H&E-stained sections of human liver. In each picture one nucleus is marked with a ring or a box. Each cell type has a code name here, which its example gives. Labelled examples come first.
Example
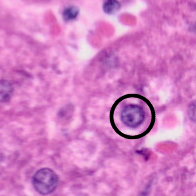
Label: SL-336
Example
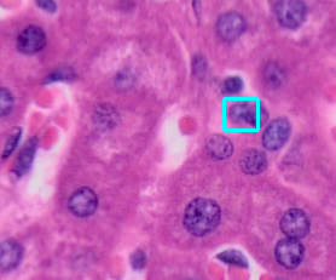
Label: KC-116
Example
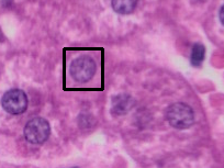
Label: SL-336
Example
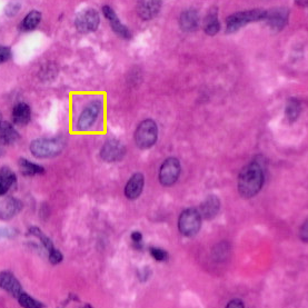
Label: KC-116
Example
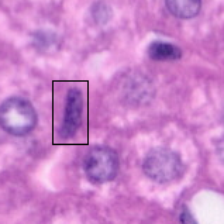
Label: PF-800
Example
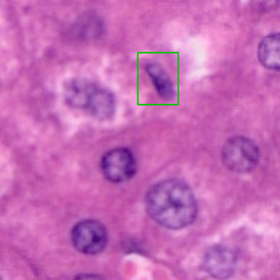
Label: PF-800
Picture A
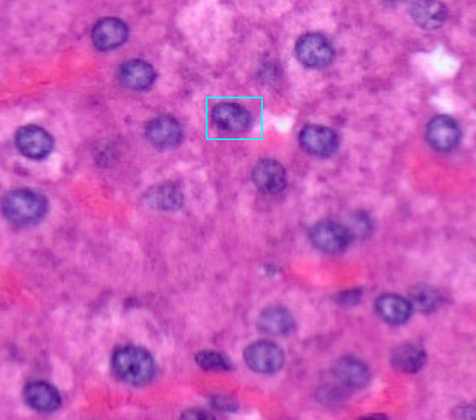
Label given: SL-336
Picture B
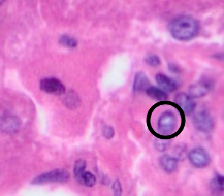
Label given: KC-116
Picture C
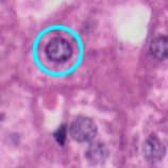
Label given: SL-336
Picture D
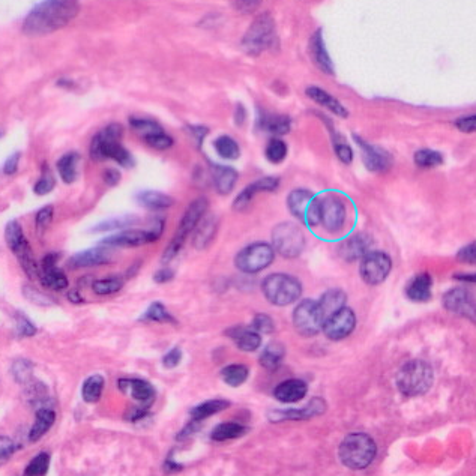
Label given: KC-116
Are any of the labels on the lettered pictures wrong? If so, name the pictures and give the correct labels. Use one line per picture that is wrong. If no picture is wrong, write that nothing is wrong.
No label is wrong.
